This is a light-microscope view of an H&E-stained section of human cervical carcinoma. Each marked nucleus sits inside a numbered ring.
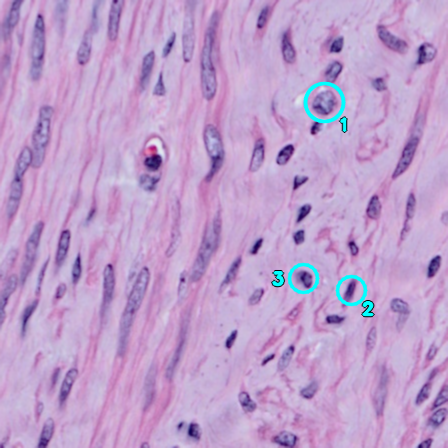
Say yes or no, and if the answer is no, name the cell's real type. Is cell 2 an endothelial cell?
No, it is a smooth muscle cell.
